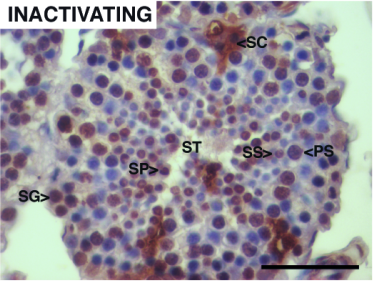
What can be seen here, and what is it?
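A seminiferous tubule of a testis, cut across, filled with spermatogonia, spermatocytes and spermatids, with Sertoli cells reaching toward a small central lumen. Round nuclei fill the epithelium; many are stained brown, others remain blue. Irregular clumps of dark brown material gather near the lumen and in the inner layers, and a brown-stained cell body with extensions lies near the upper edge. No bundles of long spermatid heads are seen in the lumen.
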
